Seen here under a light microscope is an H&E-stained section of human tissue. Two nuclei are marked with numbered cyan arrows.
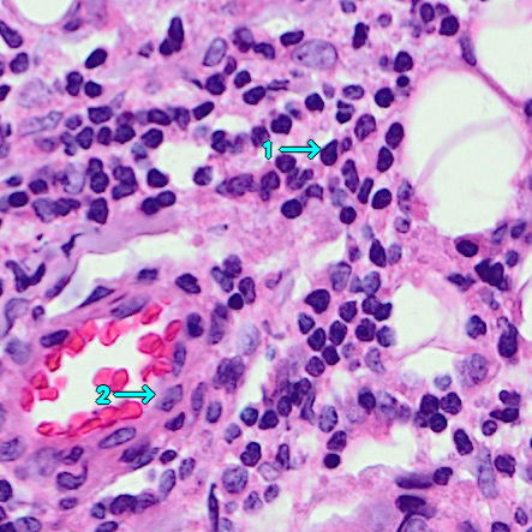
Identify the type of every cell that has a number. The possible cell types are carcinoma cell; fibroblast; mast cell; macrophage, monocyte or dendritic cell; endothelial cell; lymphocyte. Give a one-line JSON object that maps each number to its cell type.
{"1": "lymphocyte", "2": "endothelial cell"}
